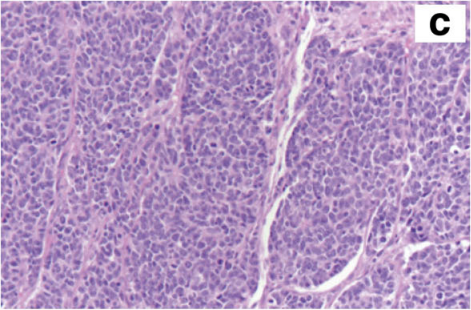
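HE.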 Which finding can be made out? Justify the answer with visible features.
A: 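Solid growth-pattern. Sheets of densely packed tumour cells without lumina. Sheets are divided only by thin fibrovascular septa.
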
